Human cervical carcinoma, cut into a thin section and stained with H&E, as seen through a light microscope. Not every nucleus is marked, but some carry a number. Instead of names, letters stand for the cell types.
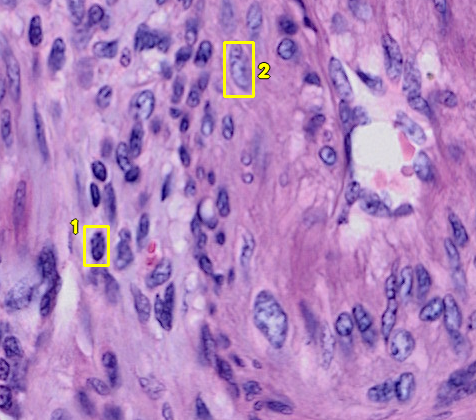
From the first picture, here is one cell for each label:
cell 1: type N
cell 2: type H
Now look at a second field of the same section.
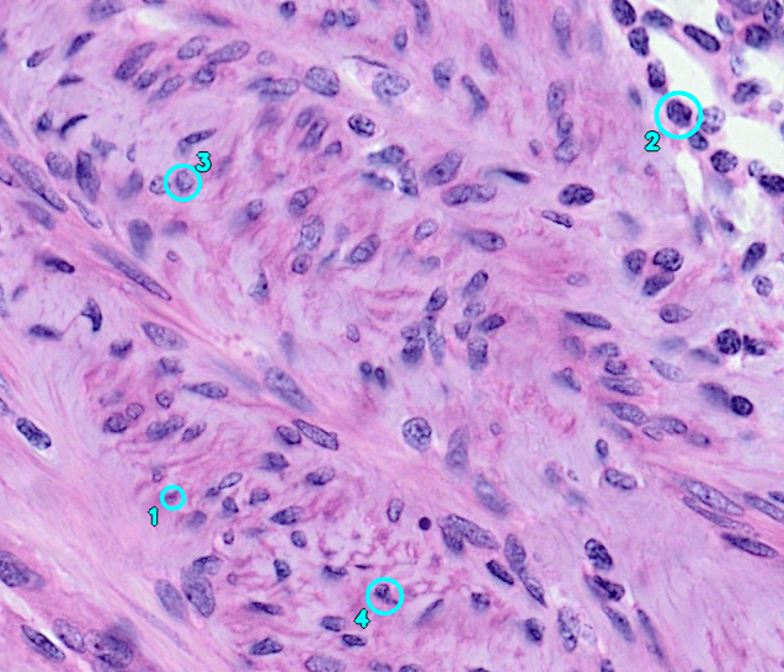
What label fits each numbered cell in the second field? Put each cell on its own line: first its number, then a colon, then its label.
1: type H
2: type N
3: type H
4: type H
